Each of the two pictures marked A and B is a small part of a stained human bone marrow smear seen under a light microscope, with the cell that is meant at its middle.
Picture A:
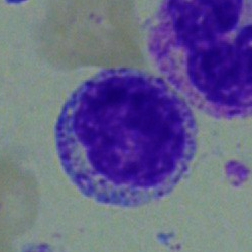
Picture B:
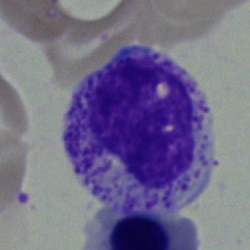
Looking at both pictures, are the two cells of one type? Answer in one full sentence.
Yes, both are myelocytes.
